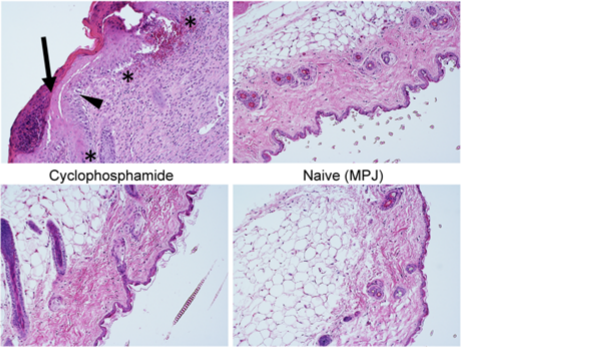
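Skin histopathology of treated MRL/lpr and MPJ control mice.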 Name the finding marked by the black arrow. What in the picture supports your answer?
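The arrow in the top-left image points at a thick, dark-staining layer on the skin surface. This surface layer is much thicker than the surface of the other three images. The answer: hyperkeratosis.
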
